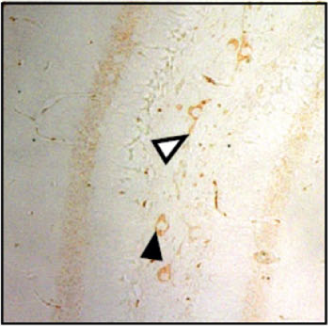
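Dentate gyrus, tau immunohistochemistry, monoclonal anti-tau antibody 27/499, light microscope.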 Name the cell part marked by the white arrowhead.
axonal/dendritic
